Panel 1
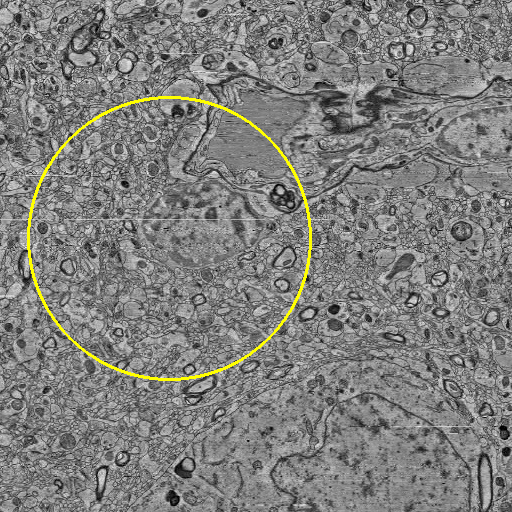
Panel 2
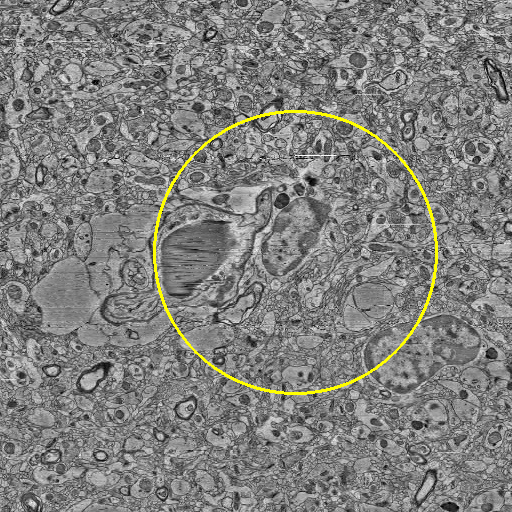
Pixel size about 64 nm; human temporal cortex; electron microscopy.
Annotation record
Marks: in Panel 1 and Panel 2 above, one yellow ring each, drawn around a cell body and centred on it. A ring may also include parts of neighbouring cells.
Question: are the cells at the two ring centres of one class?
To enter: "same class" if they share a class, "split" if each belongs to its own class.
split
